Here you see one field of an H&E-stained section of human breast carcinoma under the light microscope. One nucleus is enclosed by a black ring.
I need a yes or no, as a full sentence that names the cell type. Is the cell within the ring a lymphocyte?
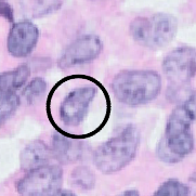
No, by cell type the cell within the ring is a carcinoma cell, not a lymphocyte.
